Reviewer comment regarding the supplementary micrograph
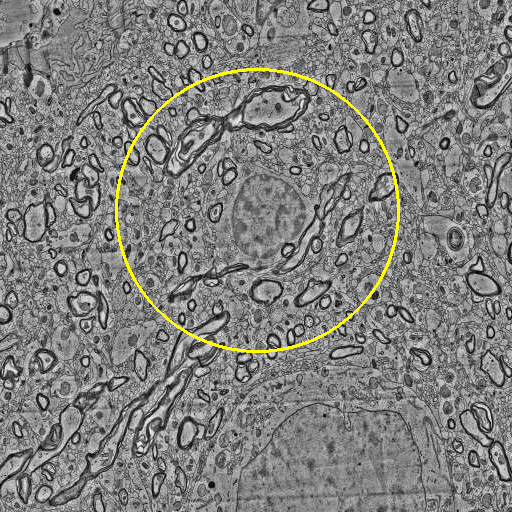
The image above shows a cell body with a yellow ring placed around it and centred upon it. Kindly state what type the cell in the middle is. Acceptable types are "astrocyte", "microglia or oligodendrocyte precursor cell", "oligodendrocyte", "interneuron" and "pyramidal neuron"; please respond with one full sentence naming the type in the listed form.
In the image above, the cell on which the yellow ring is centred is an oligodendrocyte.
